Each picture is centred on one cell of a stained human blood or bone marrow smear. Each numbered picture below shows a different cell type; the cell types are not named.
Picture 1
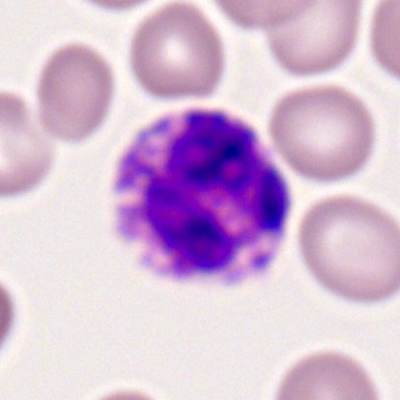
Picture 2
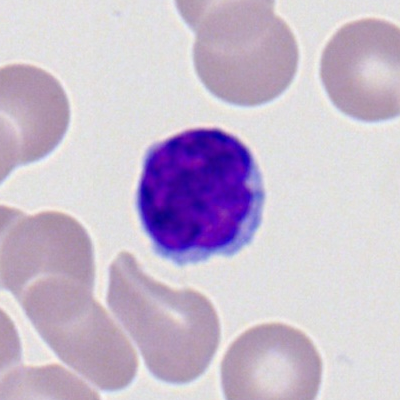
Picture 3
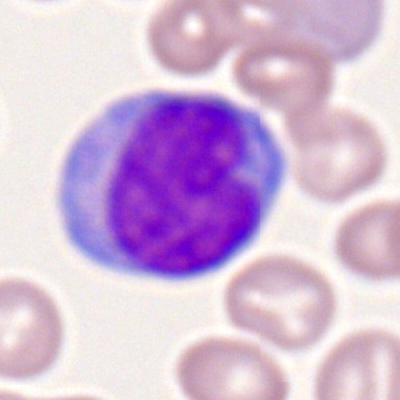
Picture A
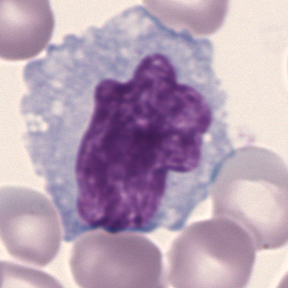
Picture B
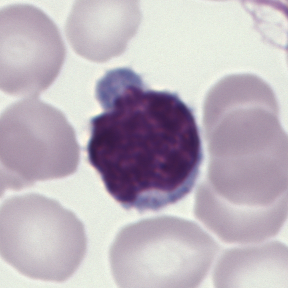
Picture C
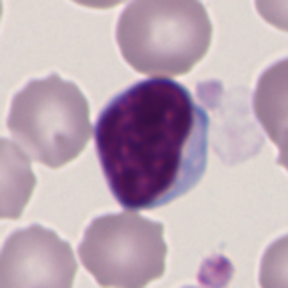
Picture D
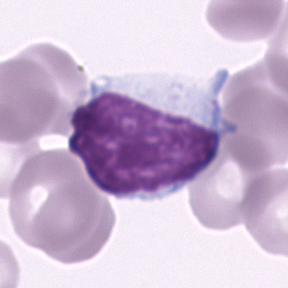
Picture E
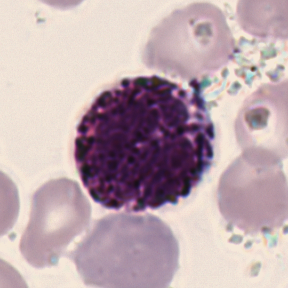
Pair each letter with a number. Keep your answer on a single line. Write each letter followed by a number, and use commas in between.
A 3, B 2, C 2, D 2, E 1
